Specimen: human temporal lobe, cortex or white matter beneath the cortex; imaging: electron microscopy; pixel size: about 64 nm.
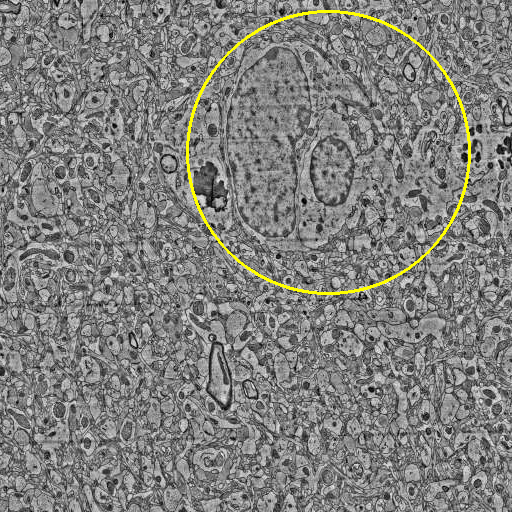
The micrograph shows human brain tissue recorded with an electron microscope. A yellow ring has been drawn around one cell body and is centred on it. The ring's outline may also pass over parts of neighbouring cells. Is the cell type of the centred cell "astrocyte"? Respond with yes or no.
yes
